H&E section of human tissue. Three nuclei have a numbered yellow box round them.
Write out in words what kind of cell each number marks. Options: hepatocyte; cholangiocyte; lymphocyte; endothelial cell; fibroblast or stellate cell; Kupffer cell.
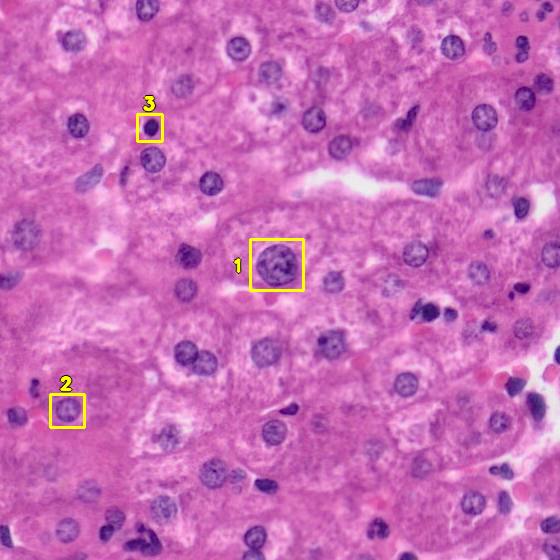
Cells 1 and 2 are hepatocytes. Cell 3 is a lymphocyte.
